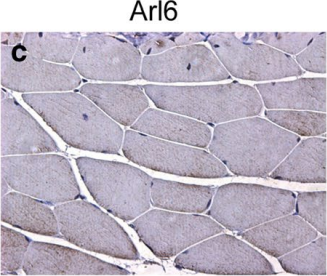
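This is a cross-section of muscle in which polygonal fibres of fairly even size fit together like paving stones. Thin pale strands of connective tissue separate the fibres, and small flattened blue nuclei sit at their edges rather than in their centres. The cytoplasm of the fibres takes only a faint, even light brown tint. The picture is that of normal muscle.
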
